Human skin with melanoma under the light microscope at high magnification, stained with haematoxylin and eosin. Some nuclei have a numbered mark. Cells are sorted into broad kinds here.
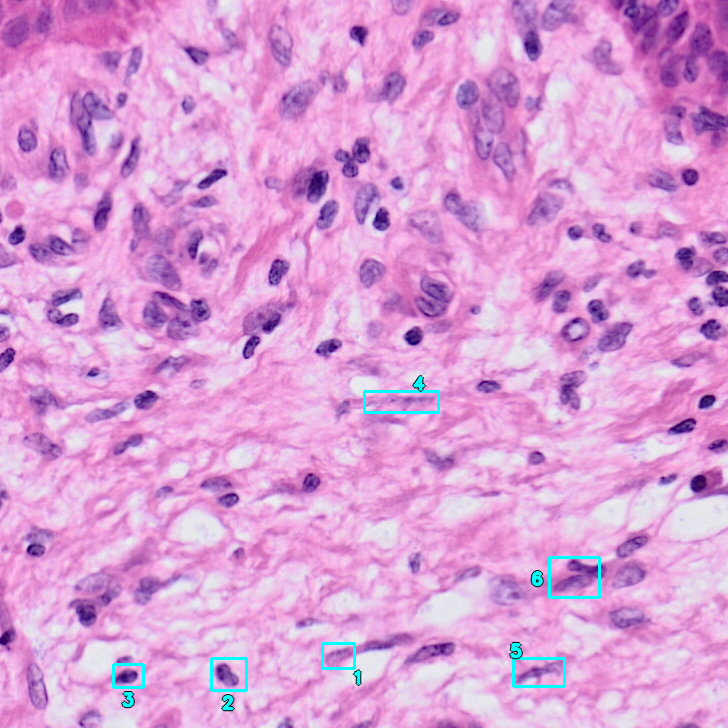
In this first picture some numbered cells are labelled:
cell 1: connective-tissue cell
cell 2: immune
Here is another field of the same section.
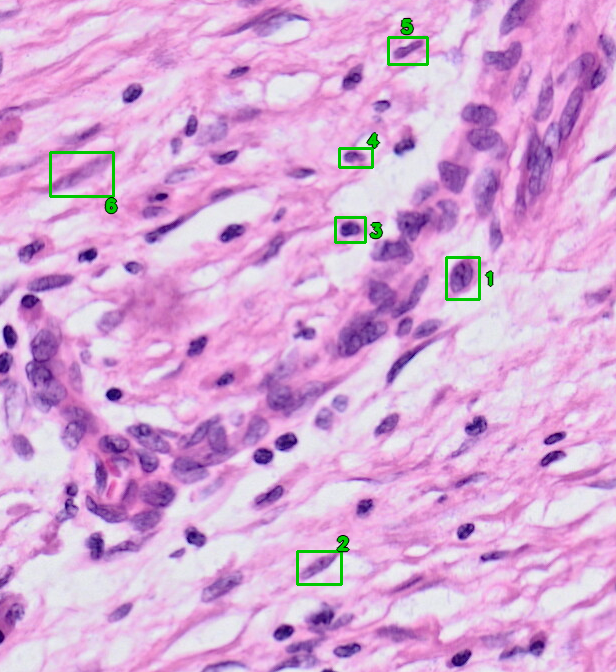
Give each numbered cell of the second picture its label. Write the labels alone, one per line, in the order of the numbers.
immune
connective-tissue cell
immune
immune
connective-tissue cell
connective-tissue cell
